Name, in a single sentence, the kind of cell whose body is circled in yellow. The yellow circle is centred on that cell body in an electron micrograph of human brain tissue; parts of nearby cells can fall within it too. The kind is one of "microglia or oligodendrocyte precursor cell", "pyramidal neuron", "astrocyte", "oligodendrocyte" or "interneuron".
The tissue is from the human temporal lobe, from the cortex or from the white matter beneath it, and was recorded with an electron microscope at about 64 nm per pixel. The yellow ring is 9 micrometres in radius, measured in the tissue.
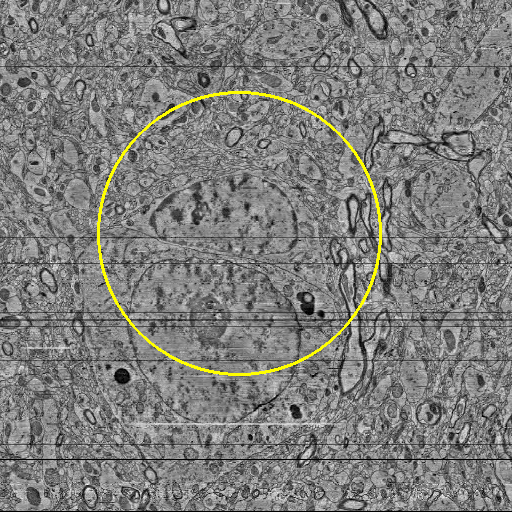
The circled cell body belongs to a microglial cell or oligodendrocyte precursor cell.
